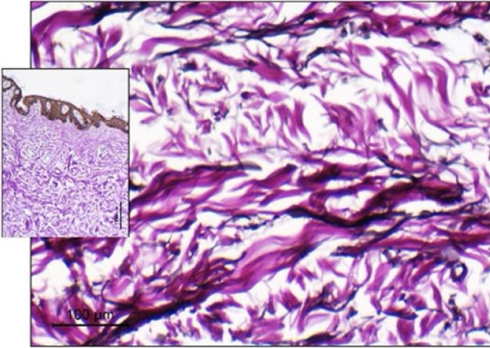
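This field of the dermis shows coarse, wavy collagen bundles stained deep pink to magenta, running in varied directions with clear spaces between them. Thin, long, dark black elastic fibres run along and between the pink bundles, several of them grouped in a band across the middle of the field. Few cell nuclei are seen among the fibres.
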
